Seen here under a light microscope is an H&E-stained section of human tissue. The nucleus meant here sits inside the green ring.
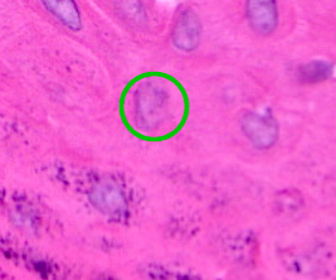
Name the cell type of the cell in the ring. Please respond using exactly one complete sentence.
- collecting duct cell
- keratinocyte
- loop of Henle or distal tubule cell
So far as cell type goes, the cell in the ring is a keratinocyte.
